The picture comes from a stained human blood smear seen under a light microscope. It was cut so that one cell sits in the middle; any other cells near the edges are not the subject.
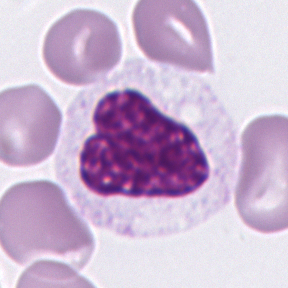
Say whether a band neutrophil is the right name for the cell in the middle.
yes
